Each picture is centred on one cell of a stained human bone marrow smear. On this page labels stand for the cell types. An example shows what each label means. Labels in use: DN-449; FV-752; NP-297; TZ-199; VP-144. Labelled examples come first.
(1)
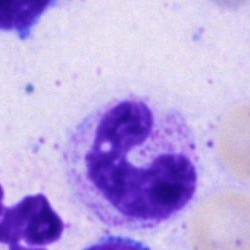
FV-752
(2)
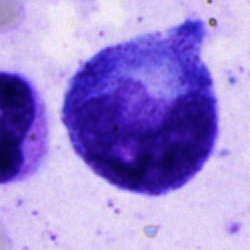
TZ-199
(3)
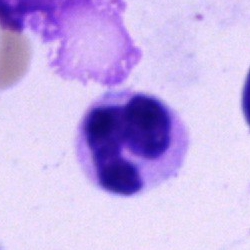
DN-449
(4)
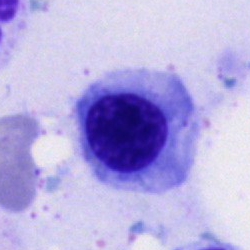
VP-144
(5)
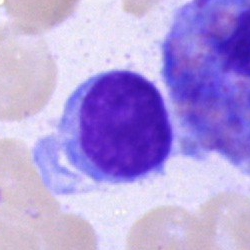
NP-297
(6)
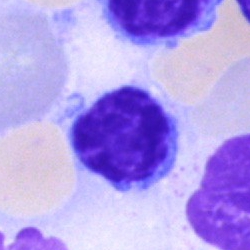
NP-297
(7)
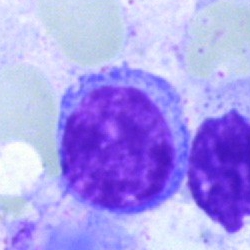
NP-297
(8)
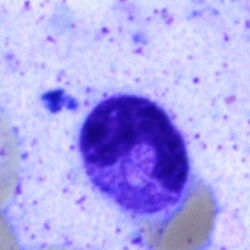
FV-752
